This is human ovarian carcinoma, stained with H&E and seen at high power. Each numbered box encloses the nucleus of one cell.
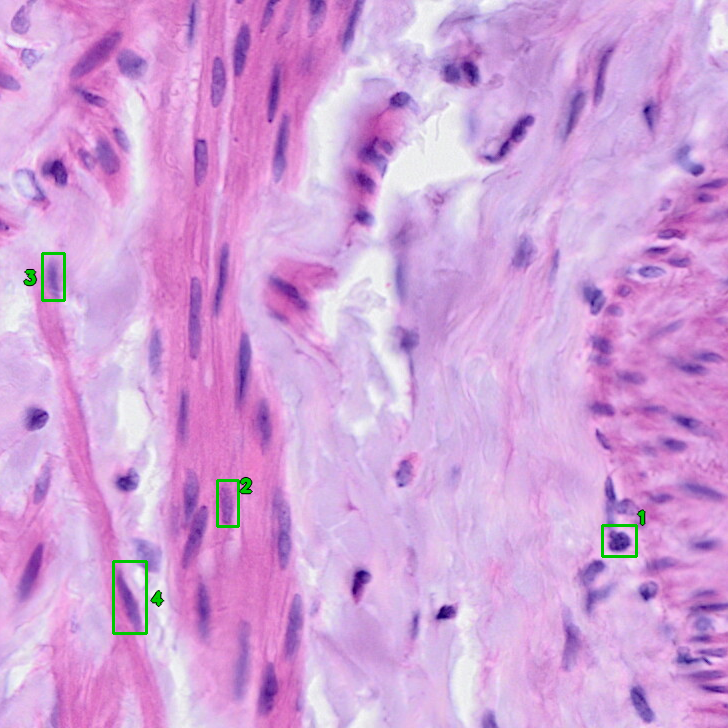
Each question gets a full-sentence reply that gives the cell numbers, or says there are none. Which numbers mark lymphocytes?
Nothing but cell 1 is a lymphocyte among the numbered ones.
